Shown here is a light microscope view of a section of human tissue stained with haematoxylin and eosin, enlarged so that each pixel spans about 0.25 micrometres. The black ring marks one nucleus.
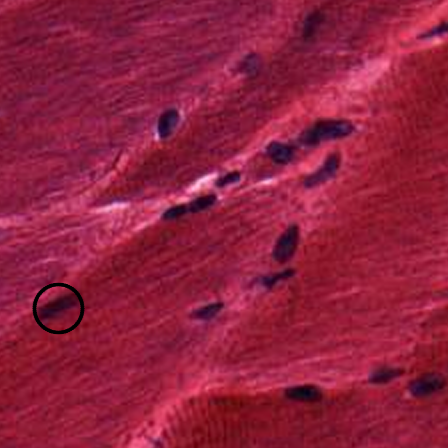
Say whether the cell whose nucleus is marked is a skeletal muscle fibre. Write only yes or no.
yes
